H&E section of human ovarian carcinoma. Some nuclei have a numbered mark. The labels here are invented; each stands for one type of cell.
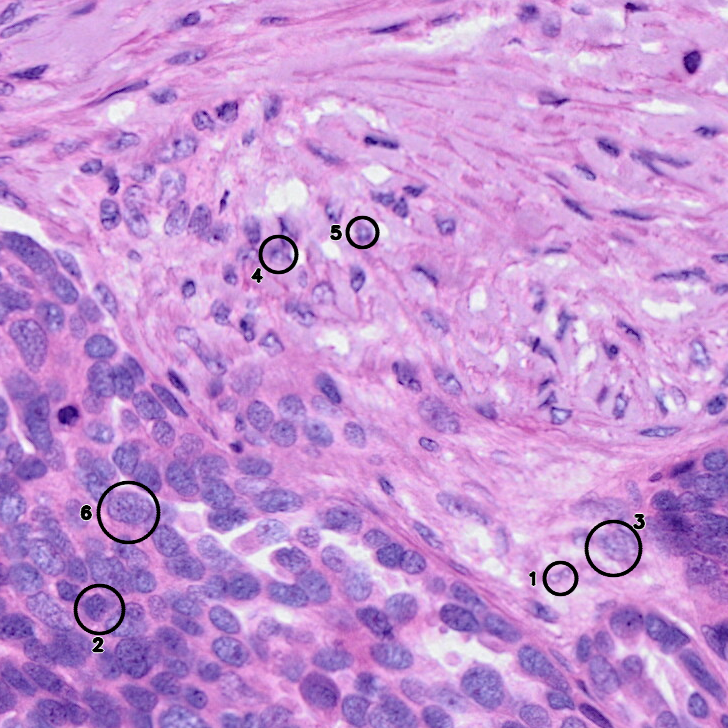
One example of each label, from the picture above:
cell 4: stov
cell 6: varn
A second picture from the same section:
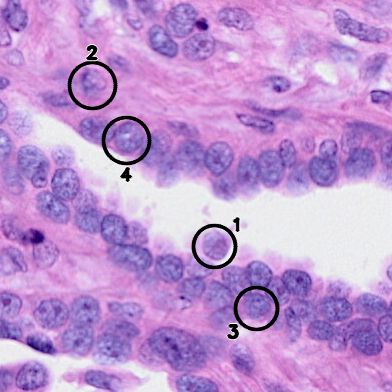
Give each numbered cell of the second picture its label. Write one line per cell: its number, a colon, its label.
1: varn
2: stov
3: varn
4: varn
